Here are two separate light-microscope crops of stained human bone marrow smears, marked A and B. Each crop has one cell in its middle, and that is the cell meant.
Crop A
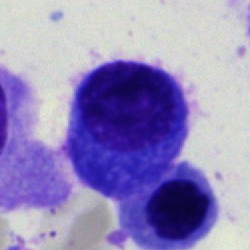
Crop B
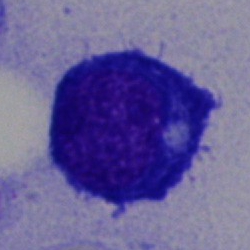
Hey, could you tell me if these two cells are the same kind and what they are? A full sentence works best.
No, crop A gives us a plasma cell and crop B gives us a proerythroblast.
